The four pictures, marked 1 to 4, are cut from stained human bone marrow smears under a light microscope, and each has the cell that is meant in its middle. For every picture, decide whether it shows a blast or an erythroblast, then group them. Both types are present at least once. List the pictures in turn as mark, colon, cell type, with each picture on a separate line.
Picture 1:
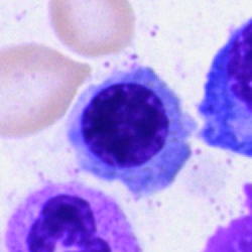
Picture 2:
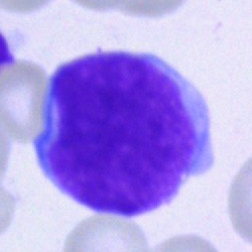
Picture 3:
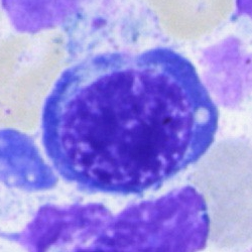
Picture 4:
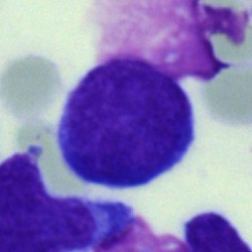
1: erythroblast
2: blast
3: erythroblast
4: blast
